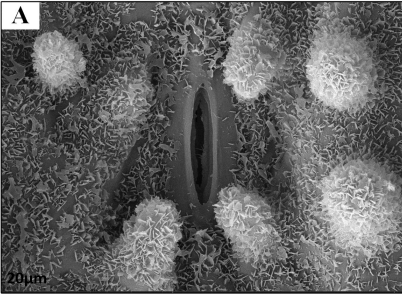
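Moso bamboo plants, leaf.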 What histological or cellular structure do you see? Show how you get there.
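The pore is surrounded by epidermis covered with rounded, textured bodies.
Stomata.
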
